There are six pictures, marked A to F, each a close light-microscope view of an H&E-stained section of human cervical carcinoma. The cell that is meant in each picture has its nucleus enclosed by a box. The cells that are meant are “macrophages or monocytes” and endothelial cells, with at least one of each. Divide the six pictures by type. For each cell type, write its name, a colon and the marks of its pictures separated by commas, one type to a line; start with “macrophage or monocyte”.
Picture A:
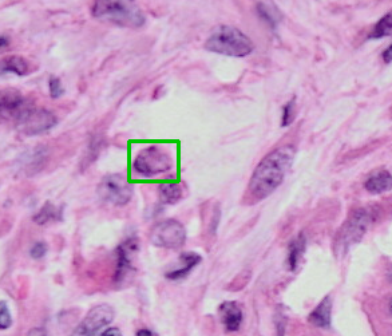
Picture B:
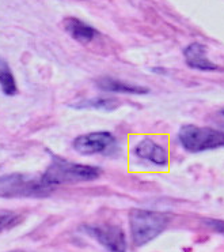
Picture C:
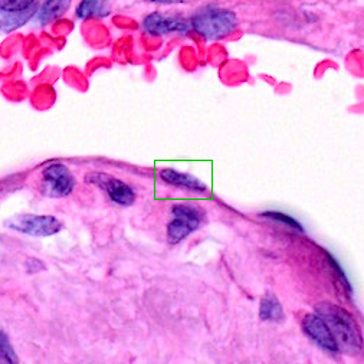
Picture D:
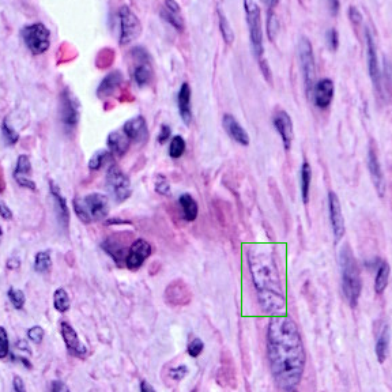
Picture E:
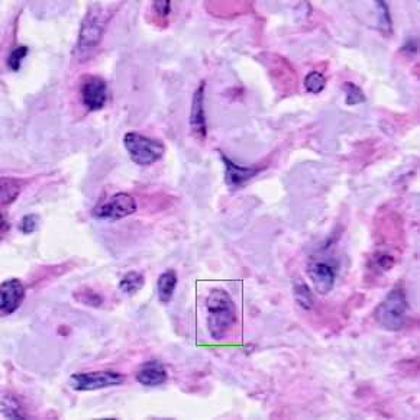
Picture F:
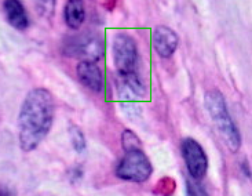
macrophage or monocyte: A, B, E
endothelial cell: C, D, F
